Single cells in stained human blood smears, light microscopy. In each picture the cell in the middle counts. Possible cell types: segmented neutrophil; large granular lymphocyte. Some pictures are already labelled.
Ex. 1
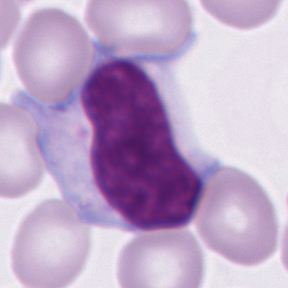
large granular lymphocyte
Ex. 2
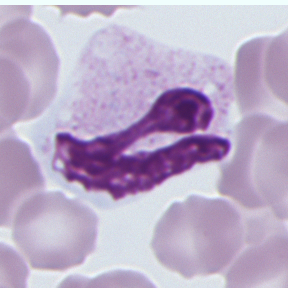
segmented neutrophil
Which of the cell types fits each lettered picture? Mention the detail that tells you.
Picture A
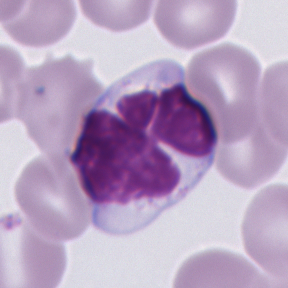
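large granular lymphocyte: The nucleus fills most of the cell.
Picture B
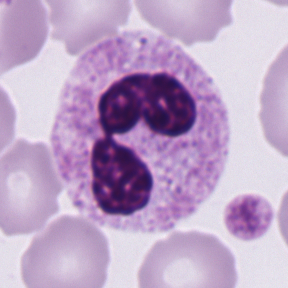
segmented neutrophil: The cytoplasm is abundant and pale pinkish-lilac.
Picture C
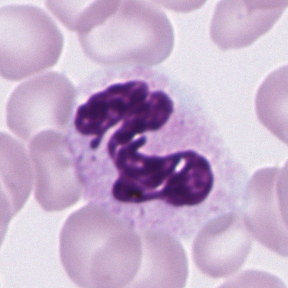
segmented neutrophil: The cytoplasm is plentiful and pale pinkish-lilac.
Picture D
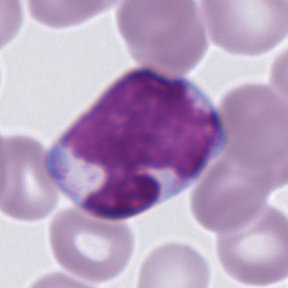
large granular lymphocyte: The cytoplasm is scanty and lies mostly at the lower left and within the notch.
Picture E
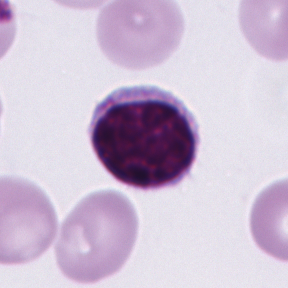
large granular lymphocyte: The cytoplasm is a thin rim that is widest along the upper edge of the cell.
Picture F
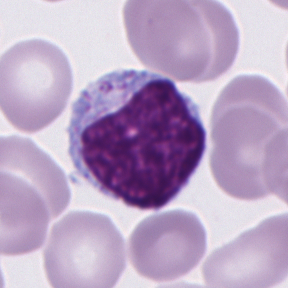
large granular lymphocyte: The cytoplasm forms a narrow crescent on the upper-left side of the nucleus.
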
